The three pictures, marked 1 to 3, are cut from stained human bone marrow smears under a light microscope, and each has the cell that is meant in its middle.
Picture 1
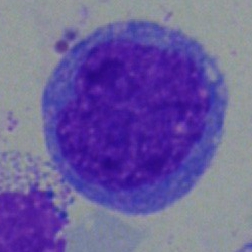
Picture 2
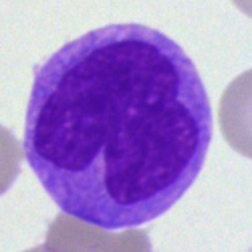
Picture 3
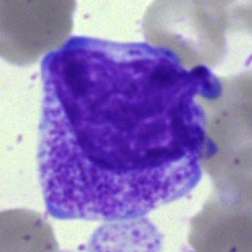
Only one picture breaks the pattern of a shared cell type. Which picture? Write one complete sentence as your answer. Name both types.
Picture 3 is the odd one out: it shows a promyelocyte, while the others show blasts.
